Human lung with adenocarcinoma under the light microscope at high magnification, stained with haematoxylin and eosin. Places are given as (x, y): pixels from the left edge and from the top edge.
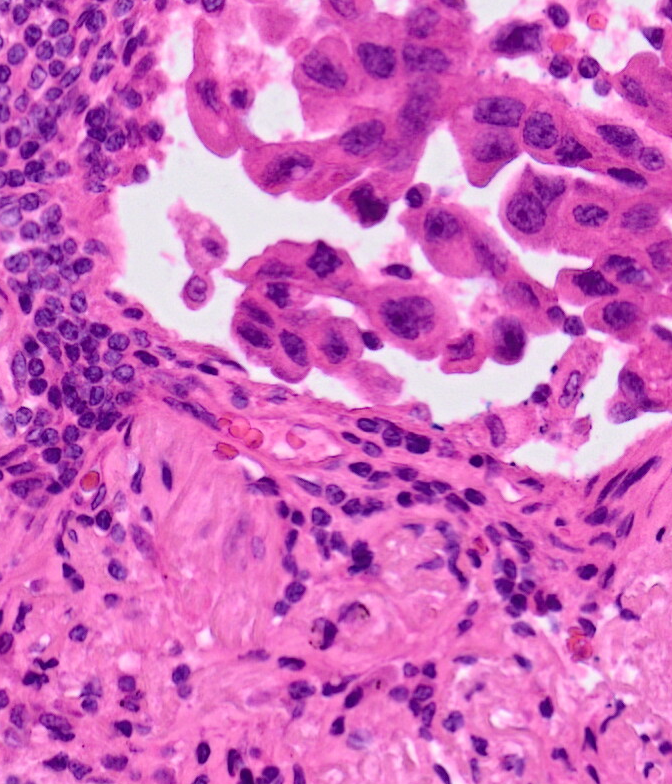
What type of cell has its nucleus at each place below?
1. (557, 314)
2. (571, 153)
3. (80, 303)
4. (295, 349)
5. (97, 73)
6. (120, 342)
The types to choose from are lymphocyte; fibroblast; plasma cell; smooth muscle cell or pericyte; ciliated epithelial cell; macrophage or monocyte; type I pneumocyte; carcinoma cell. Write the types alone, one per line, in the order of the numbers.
carcinoma cell
carcinoma cell
lymphocyte
carcinoma cell
lymphocyte
lymphocyte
